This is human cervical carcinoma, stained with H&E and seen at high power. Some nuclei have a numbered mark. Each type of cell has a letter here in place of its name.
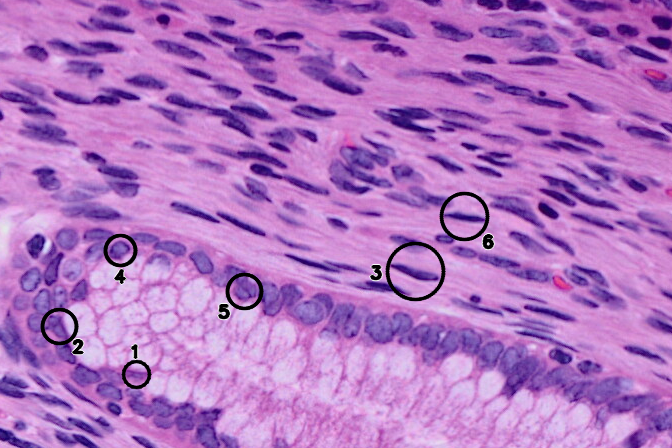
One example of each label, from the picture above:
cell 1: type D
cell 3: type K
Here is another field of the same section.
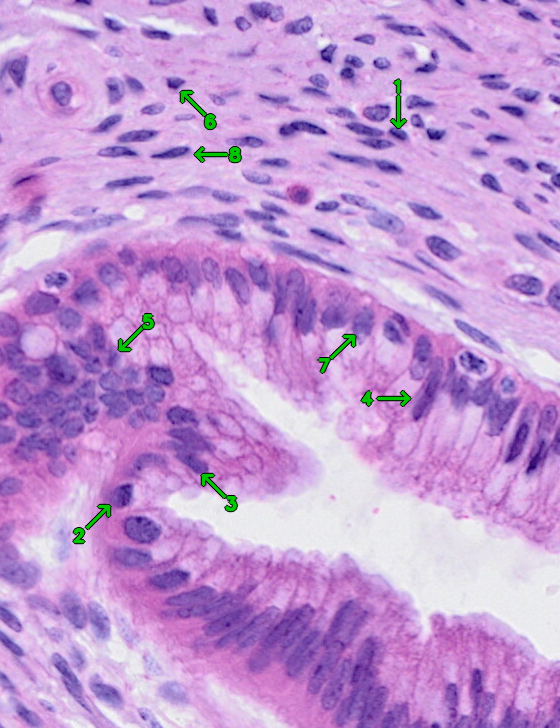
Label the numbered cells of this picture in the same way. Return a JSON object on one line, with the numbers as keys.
{"1": "type K", "2": "type D", "3": "type D", "4": "type D", "5": "type D", "6": "type K", "7": "type D", "8": "type K"}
